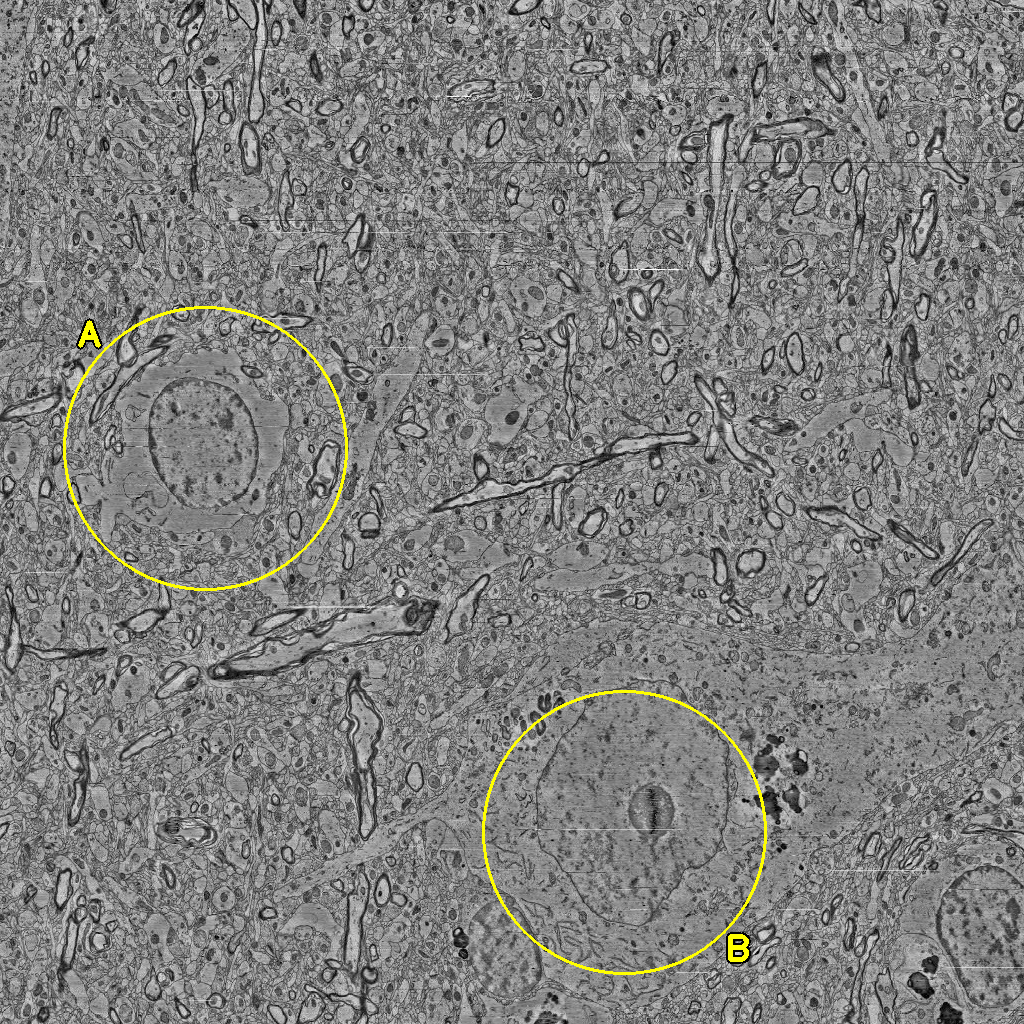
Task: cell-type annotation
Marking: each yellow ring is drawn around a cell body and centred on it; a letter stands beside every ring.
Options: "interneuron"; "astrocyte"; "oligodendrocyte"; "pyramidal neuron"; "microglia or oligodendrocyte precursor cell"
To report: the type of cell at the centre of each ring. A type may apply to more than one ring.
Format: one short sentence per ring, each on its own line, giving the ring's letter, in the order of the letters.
Ring A is centred on an astrocyte.
Ring B is centred on a pyramidal neuron.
